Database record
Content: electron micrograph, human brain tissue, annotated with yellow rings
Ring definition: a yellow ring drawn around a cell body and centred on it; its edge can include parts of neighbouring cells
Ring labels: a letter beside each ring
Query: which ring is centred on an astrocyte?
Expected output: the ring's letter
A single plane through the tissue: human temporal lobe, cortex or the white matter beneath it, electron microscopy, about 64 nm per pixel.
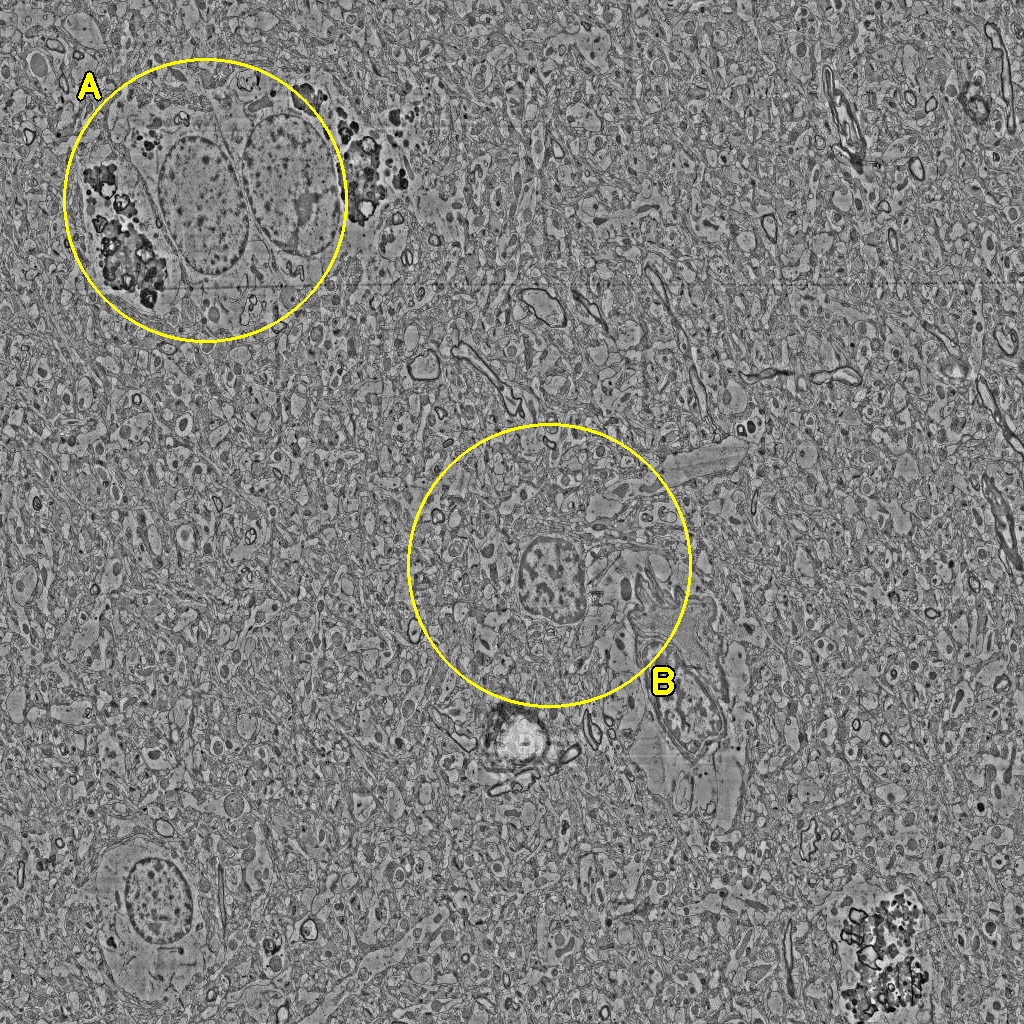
A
